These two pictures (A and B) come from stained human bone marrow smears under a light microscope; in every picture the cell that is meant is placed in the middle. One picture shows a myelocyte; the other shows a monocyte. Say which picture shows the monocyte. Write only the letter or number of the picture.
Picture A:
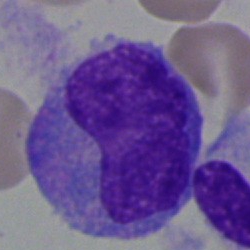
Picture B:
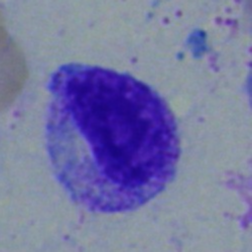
A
